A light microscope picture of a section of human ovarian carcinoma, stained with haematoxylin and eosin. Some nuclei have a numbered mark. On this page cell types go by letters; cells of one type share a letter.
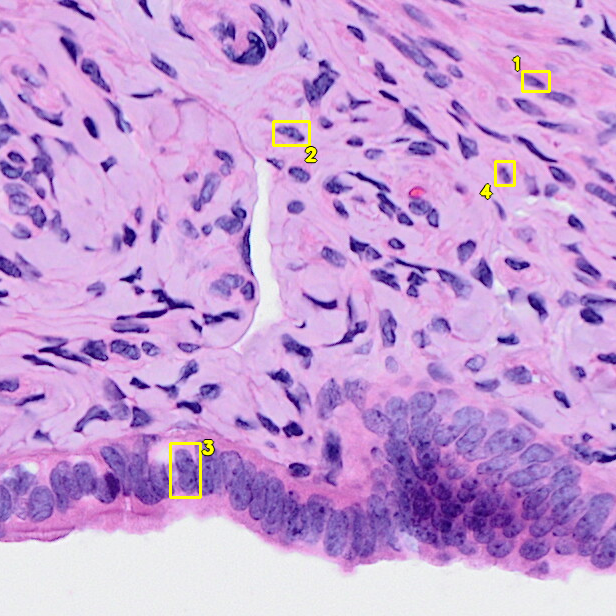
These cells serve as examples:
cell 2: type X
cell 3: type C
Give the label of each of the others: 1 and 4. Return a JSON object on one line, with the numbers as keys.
{"1": "type X", "4": "type X"}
